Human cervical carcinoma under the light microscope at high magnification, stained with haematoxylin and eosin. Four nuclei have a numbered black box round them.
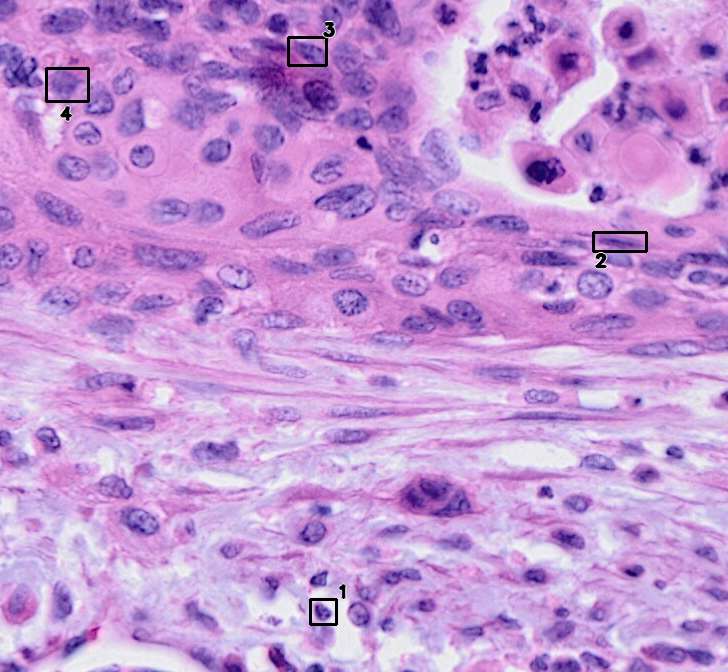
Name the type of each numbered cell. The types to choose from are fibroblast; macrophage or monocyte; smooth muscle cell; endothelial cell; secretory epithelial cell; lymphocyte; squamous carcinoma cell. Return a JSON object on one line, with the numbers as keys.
{"1": "lymphocyte", "2": "squamous carcinoma cell", "3": "squamous carcinoma cell", "4": "squamous carcinoma cell"}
